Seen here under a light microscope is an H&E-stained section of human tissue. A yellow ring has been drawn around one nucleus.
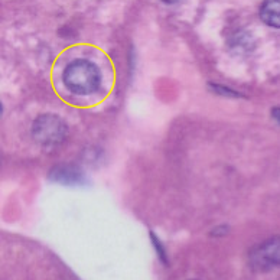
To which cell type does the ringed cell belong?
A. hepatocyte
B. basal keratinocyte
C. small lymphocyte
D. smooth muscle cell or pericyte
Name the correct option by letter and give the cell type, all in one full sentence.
The correct pick is option A; the ringed cell is a hepatocyte.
